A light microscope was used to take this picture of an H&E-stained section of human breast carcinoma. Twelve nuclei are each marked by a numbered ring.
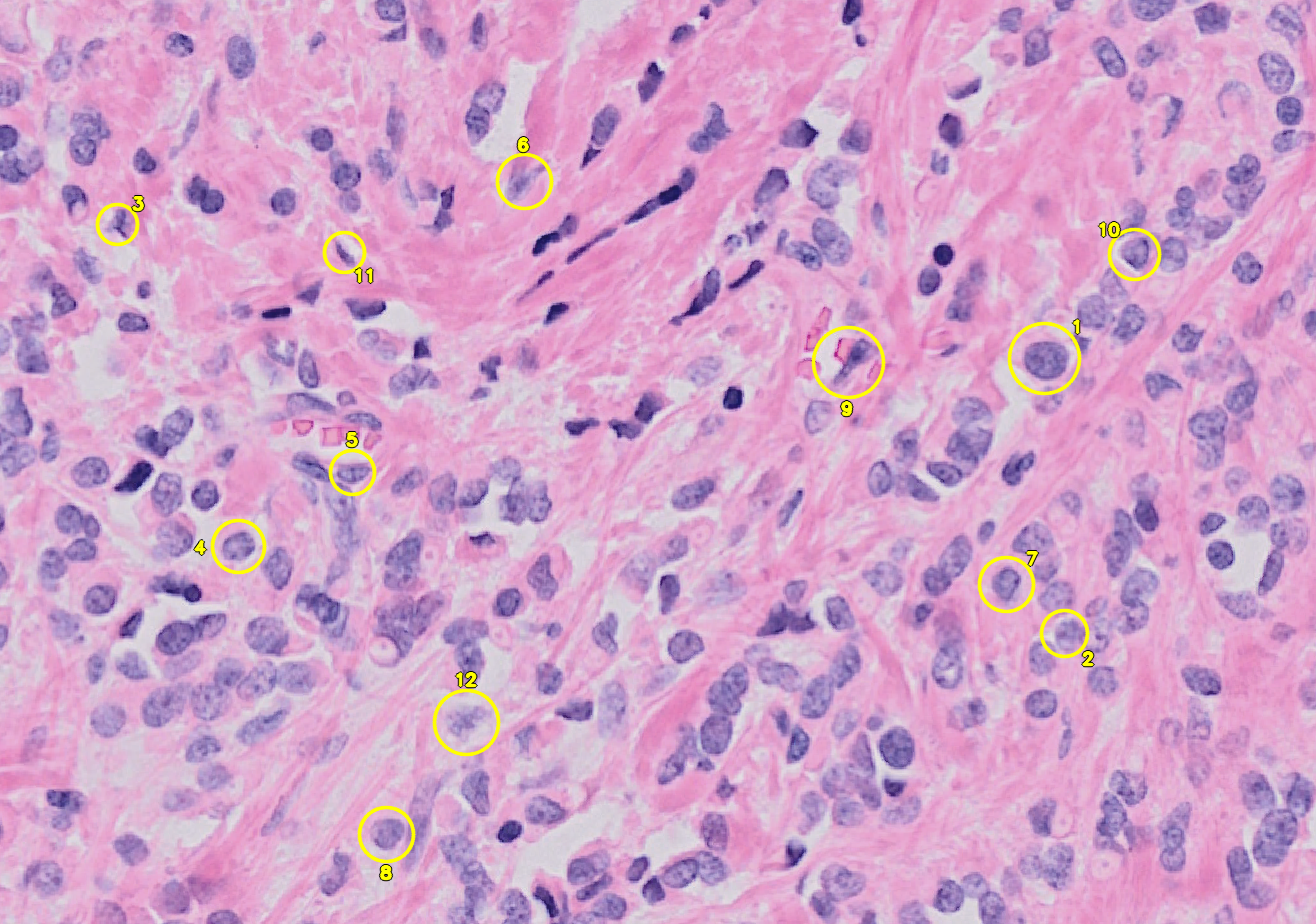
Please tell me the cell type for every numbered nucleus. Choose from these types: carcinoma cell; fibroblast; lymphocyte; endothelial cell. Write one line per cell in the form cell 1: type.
cell 1: carcinoma cell
cell 2: carcinoma cell
cell 3: fibroblast
cell 4: carcinoma cell
cell 5: endothelial cell
cell 6: fibroblast
cell 7: carcinoma cell
cell 8: carcinoma cell
cell 9: endothelial cell
cell 10: carcinoma cell
cell 11: fibroblast
cell 12: fibroblast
